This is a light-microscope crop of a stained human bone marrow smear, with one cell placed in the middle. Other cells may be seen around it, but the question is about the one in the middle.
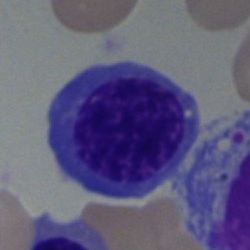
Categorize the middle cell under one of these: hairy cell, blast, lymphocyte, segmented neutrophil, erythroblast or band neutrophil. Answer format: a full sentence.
Located at the centre of the crop is an erythroblast.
